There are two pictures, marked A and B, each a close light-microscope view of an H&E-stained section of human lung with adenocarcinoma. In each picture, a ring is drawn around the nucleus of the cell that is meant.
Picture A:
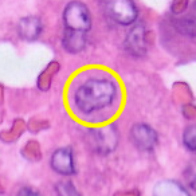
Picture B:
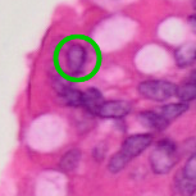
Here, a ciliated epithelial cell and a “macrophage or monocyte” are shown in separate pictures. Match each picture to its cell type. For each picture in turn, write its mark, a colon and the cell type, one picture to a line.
A: macrophage or monocyte
B: ciliated epithelial cell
